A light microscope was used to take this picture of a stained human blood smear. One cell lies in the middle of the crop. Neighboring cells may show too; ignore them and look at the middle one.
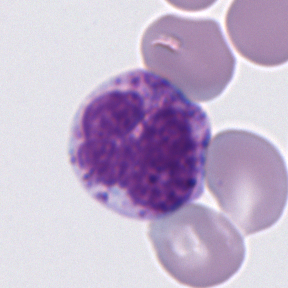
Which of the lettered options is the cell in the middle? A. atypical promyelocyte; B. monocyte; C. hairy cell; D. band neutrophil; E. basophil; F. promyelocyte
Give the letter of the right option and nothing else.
E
